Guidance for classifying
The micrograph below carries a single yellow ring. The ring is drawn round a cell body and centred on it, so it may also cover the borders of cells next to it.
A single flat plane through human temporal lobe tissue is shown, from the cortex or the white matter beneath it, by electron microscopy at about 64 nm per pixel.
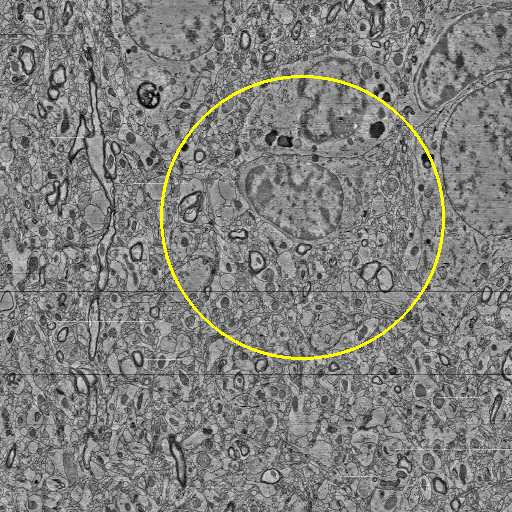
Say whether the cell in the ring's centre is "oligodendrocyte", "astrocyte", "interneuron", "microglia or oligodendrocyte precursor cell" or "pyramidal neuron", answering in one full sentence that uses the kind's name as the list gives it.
Within the yellow ring, an oligodendrocyte is the cell whose body sits at the centre.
